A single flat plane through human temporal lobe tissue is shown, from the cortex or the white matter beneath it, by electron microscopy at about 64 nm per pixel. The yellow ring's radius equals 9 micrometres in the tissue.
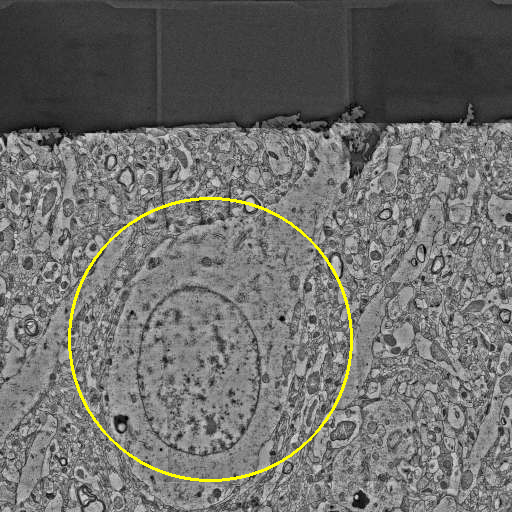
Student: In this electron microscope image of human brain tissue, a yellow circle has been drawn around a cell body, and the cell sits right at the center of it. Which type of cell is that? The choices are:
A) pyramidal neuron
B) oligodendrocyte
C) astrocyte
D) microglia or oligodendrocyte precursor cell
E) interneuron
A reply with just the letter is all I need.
A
